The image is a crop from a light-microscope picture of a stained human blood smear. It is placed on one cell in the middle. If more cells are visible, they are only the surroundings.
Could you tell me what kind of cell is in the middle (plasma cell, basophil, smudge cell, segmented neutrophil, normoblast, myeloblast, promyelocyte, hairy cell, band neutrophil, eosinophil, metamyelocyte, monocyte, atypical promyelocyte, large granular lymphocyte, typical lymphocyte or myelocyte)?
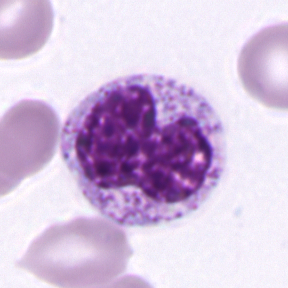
metamyelocyte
